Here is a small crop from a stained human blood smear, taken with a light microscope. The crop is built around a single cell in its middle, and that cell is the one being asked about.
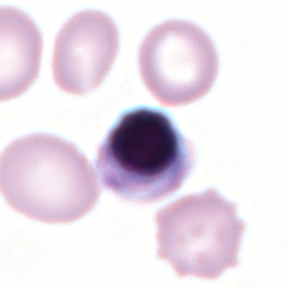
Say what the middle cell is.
normoblast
